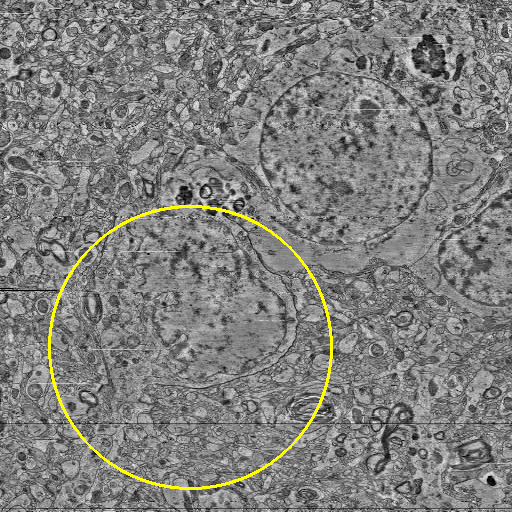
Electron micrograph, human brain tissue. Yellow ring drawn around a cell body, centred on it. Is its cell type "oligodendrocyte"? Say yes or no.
no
